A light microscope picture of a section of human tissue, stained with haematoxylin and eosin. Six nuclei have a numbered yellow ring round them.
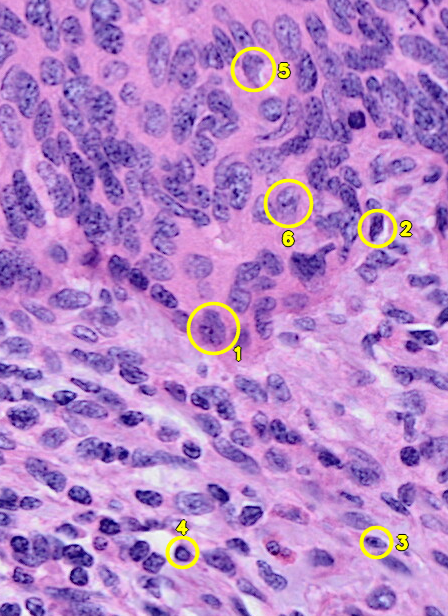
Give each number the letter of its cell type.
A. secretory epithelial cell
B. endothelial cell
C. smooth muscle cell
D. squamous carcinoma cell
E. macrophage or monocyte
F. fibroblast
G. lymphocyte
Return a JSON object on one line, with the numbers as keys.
{"1": "D", "2": "G", "3": "G", "4": "G", "5": "D", "6": "D"}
